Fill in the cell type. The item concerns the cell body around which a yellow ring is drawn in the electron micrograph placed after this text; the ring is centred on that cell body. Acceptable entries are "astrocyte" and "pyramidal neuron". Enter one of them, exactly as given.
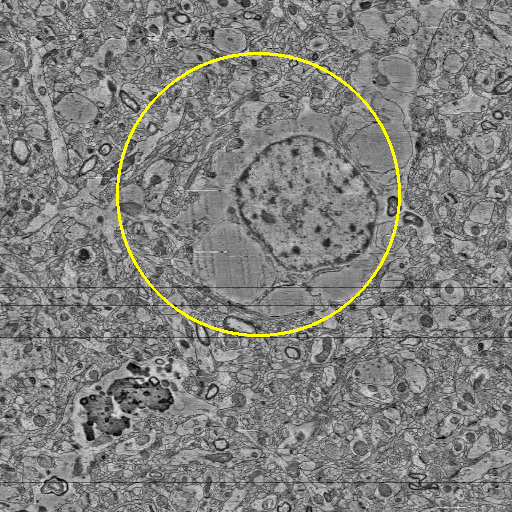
astrocyte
